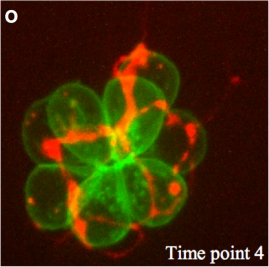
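Neuromast of the lateral line with a rosette of pear-shaped hair cells outlined in green, now overlaid by red nerve fibres. Thick red neurites branch across the cluster, running over and between the hair cells toward the center. The neurites bear rounded swellings along their length, some of them at the edges of the cells. The hair cells keep their radial arrangement around a central point. Small red dots remain scattered across the cluster.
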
